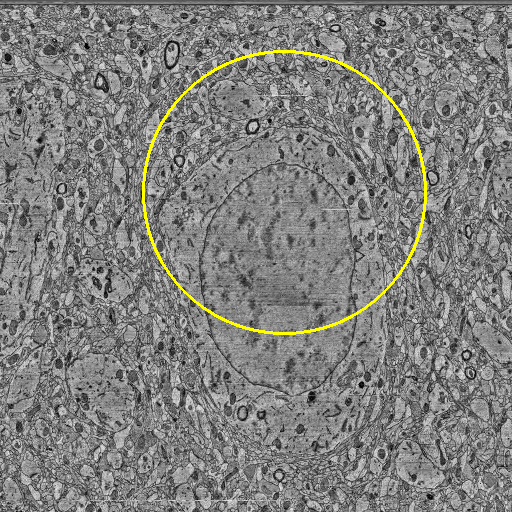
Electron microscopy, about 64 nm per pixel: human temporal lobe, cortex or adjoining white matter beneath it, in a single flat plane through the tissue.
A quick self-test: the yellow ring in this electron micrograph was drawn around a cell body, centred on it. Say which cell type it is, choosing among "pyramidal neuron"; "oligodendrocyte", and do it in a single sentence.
The yellow-ringed cell is a pyramidal neuron.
